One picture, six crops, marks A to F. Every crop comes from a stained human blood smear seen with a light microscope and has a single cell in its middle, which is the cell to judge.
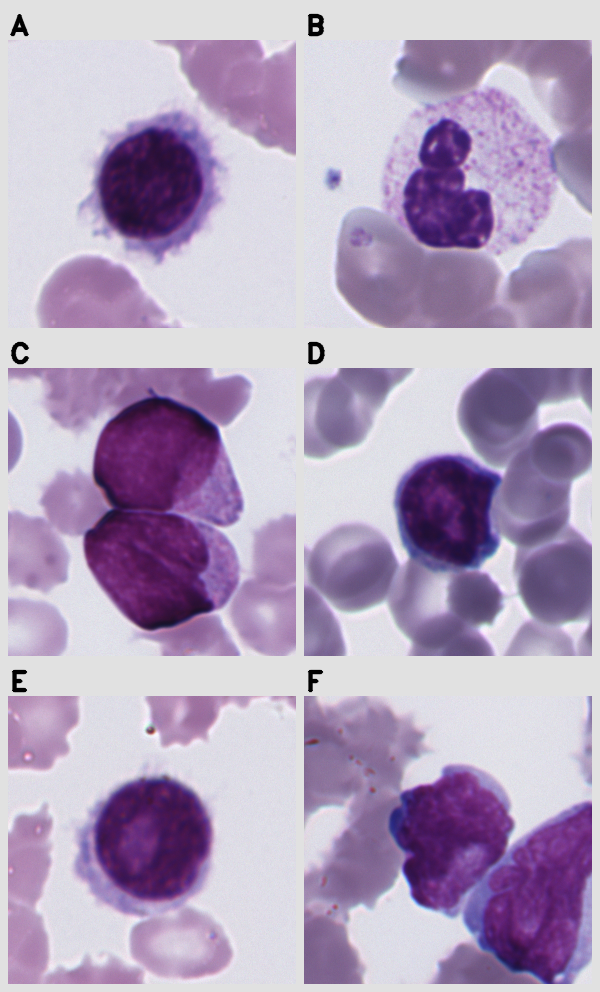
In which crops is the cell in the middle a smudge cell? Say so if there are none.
none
